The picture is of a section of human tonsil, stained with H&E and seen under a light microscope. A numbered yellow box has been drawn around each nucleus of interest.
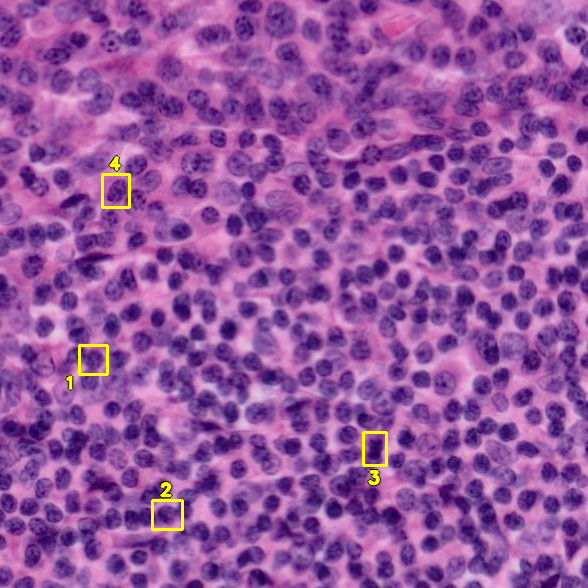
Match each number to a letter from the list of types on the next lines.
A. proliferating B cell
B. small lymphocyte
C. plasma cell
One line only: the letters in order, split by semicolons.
B; B; B; C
